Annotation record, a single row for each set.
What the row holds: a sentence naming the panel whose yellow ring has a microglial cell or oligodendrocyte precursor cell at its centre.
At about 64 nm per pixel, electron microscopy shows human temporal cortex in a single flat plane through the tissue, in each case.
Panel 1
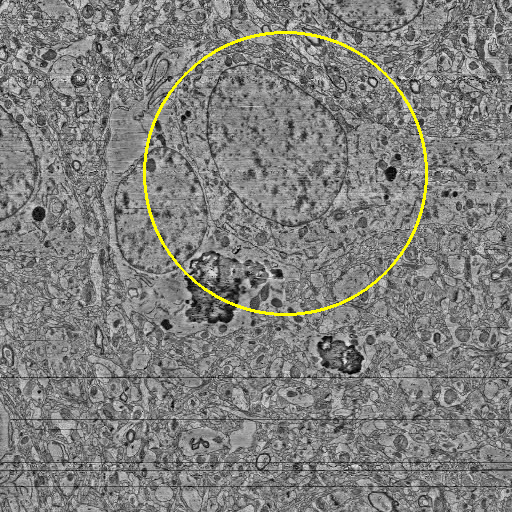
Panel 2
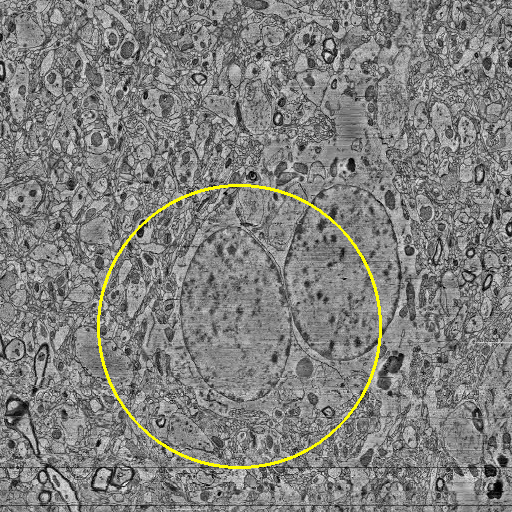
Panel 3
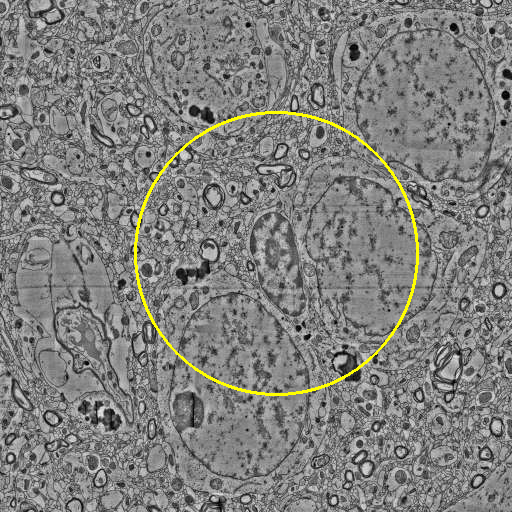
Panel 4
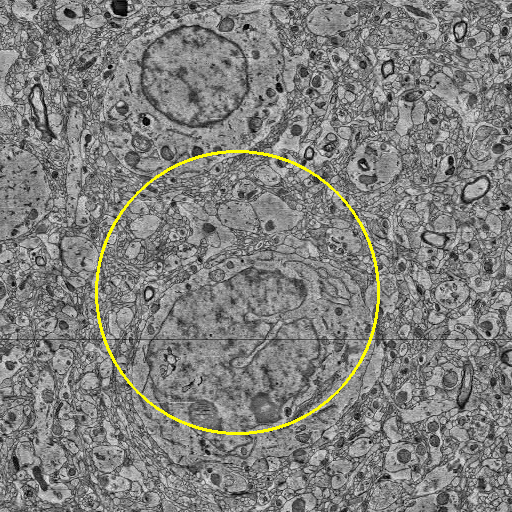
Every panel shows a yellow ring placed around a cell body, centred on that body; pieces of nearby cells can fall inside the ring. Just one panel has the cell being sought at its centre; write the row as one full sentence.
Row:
In panel 3, the cell at the middle of the yellow ring is the one sought.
